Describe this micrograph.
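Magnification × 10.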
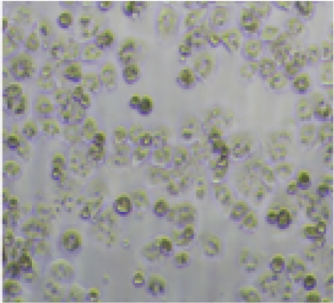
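The cells are small, round and strongly refractile, with dark rims and granular interiors. They lie singly or in loose small clusters scattered over the dish, with clear gaps of empty background between them. None of them has flattened or spread out onto the surface, and no sheet or monolayer has formed.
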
